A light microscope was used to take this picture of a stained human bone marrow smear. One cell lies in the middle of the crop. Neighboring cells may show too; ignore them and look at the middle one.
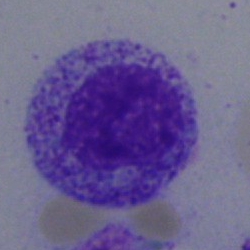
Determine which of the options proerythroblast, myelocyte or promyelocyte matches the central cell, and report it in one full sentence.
By type, the central cell of the crop is a myelocyte.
